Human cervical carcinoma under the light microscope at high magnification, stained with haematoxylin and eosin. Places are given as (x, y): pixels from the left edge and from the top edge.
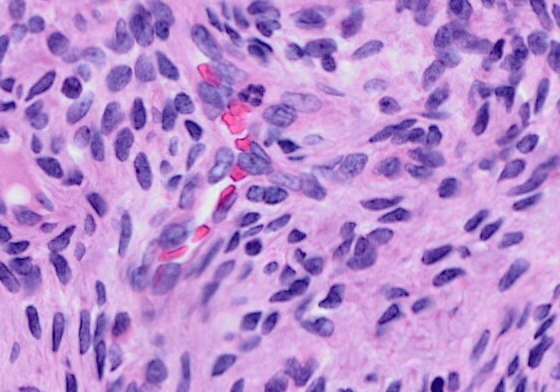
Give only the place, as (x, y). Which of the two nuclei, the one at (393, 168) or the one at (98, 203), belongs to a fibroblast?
(98, 203)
